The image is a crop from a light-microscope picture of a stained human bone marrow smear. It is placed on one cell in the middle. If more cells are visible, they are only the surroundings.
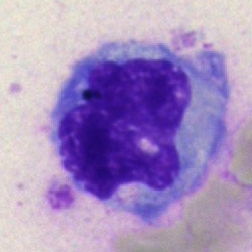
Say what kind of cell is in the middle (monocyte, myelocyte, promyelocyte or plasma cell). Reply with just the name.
monocyte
